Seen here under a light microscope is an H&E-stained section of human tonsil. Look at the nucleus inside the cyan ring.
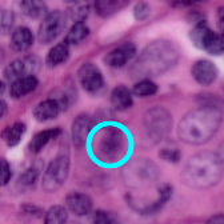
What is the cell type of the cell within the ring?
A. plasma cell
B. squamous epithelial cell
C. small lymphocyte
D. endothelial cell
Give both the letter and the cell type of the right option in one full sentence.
Answer with option D; the cell within the ring is an endothelial cell.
